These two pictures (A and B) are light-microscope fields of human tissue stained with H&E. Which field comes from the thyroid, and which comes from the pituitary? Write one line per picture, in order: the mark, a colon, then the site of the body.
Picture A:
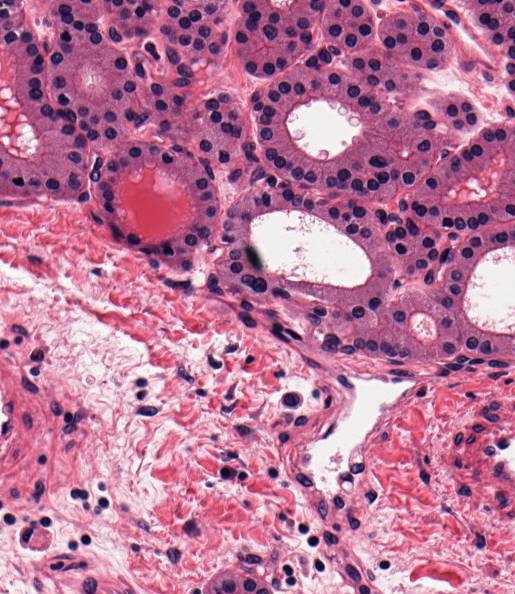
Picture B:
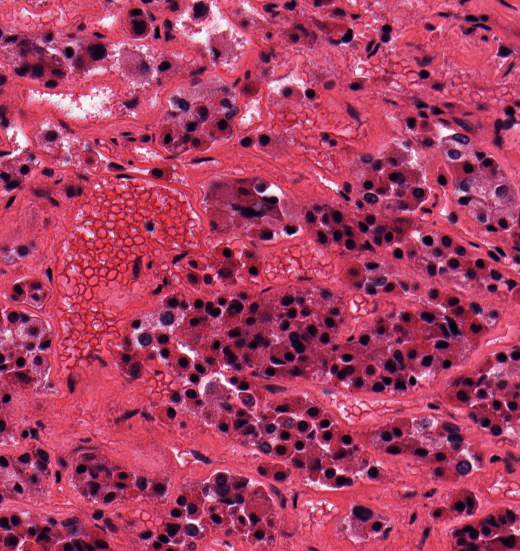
A: thyroid
B: pituitary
